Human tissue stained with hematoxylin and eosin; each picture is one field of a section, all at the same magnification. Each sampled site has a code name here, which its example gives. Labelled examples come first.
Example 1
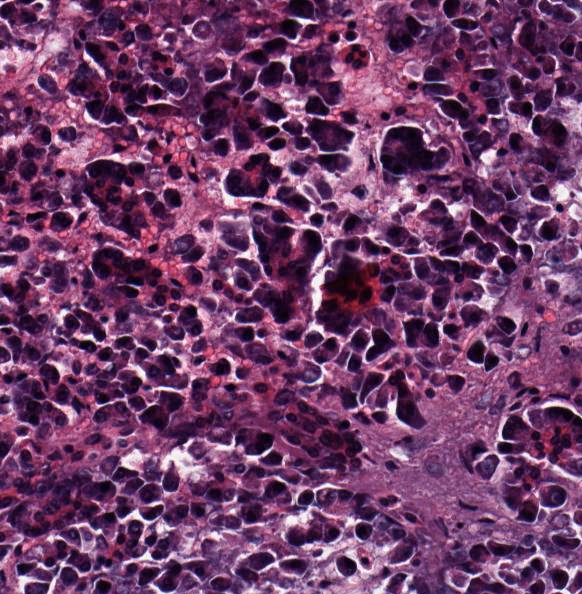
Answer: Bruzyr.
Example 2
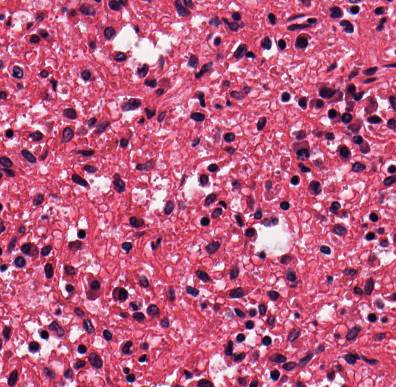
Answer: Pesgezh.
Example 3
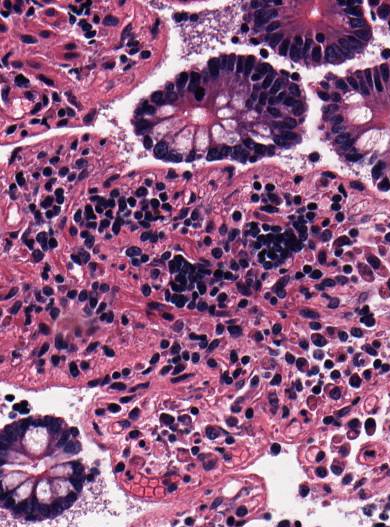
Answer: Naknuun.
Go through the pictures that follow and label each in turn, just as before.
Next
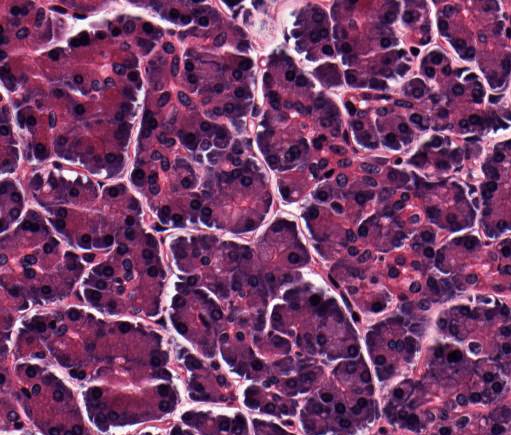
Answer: Bruzyr.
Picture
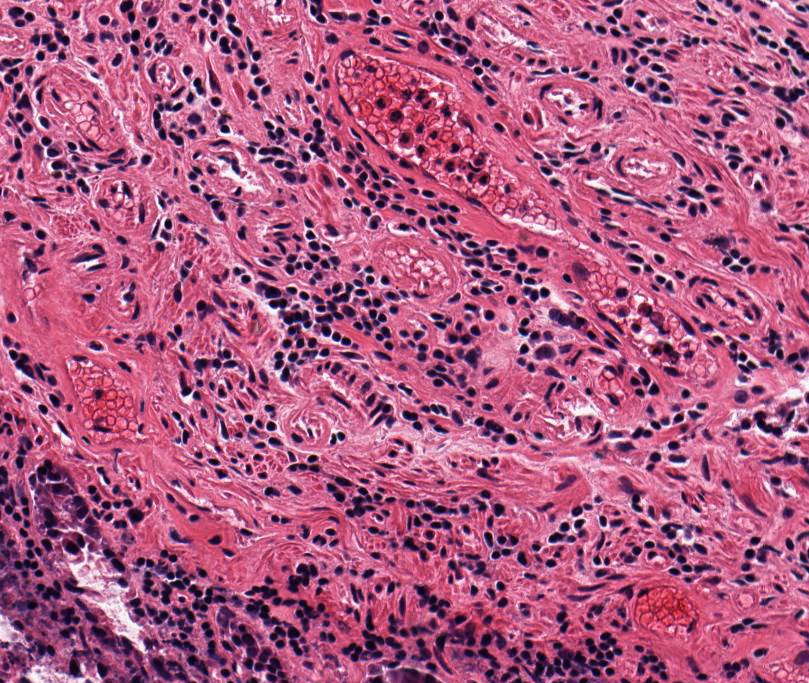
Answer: Naknuun.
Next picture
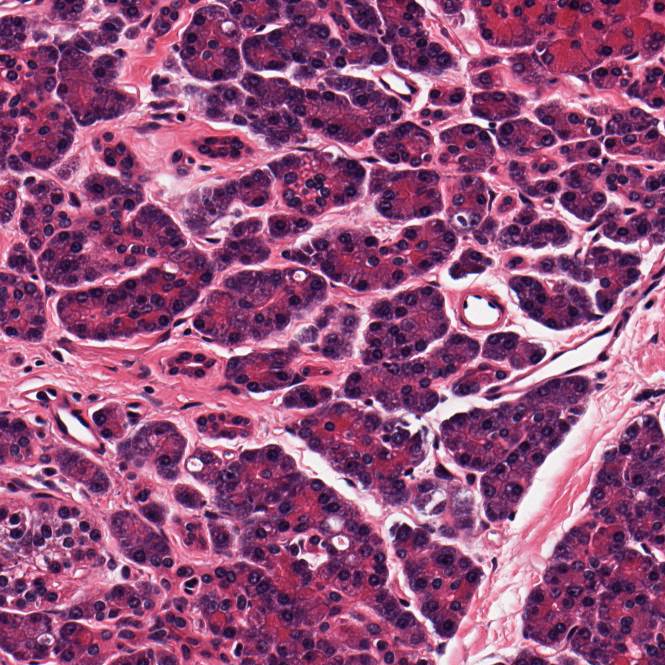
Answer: Bruzyr.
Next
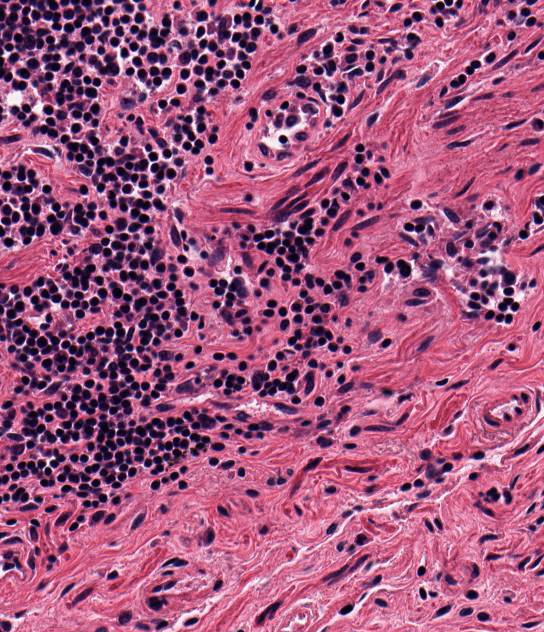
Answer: Naknuun.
